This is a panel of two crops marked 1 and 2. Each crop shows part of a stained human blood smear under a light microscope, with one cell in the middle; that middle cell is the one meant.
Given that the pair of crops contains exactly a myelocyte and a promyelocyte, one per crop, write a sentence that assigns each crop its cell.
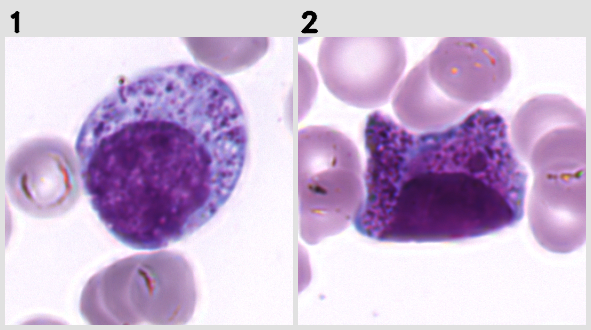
The middle of crop 1 is occupied by a myelocyte, and the middle of crop 2 by a promyelocyte.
